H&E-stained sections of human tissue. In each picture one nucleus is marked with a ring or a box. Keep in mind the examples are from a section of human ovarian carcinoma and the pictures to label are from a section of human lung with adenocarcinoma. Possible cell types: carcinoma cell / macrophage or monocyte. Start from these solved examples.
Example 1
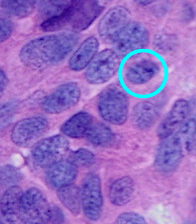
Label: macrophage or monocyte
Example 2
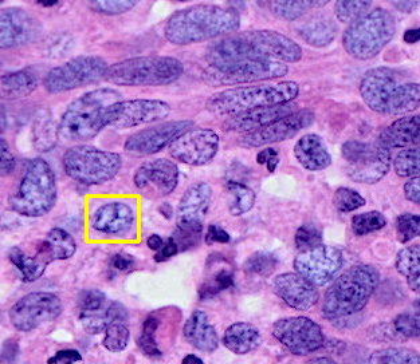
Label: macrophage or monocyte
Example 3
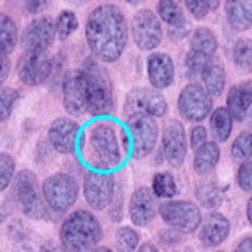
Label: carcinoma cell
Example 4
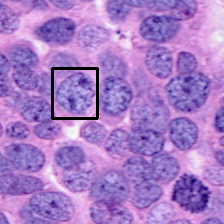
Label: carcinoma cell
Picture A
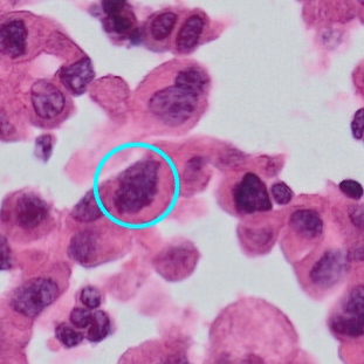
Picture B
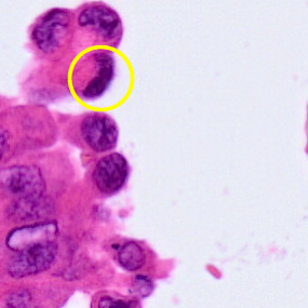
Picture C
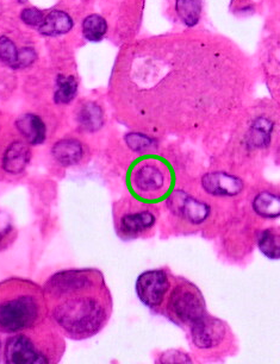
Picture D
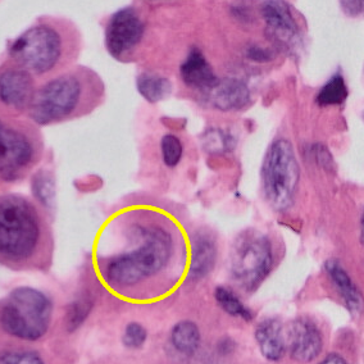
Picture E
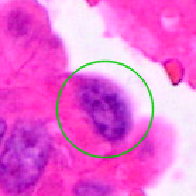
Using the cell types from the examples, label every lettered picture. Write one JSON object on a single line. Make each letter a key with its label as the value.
{"A": "carcinoma cell", "B": "carcinoma cell", "C": "macrophage or monocyte", "D": "carcinoma cell", "E": "carcinoma cell"}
